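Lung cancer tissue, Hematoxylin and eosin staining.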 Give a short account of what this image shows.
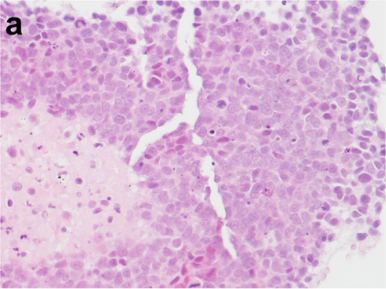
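The cells have round to oval nuclei staining purple and a modest rim of pink cytoplasm, with little intervening stroma. A narrow cleft runs vertically through the sheet, and at the lower left lies a paler pink area with fewer cells.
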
